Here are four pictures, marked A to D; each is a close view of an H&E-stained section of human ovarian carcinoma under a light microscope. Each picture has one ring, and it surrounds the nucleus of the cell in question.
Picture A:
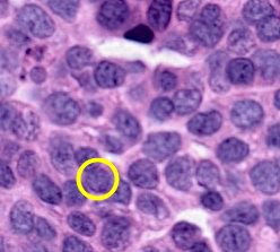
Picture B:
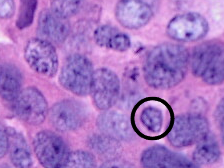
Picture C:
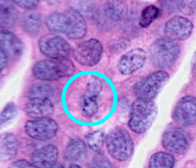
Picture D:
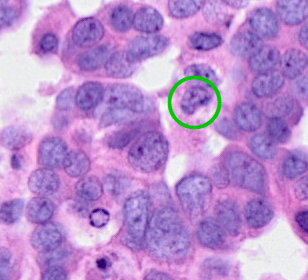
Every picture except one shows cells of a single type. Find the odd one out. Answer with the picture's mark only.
A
